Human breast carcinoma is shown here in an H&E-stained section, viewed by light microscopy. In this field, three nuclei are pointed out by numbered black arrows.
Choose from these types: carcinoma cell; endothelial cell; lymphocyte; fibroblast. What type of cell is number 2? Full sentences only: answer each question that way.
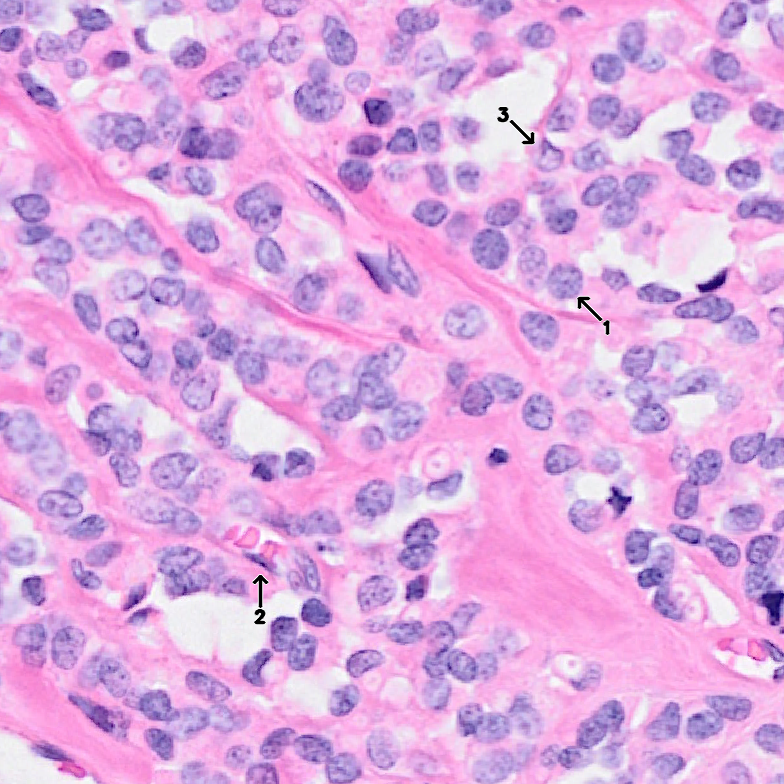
The cell given label 2 is an endothelial cell.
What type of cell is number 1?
The cell bearing label 1 corresponds to a carcinoma cell.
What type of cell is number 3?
Cell 3 of the marked set is a carcinoma cell.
